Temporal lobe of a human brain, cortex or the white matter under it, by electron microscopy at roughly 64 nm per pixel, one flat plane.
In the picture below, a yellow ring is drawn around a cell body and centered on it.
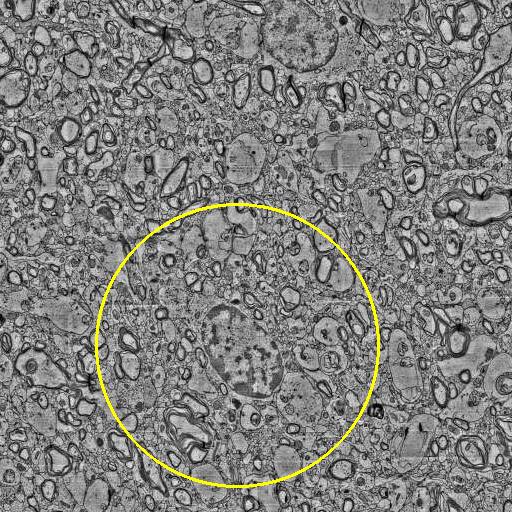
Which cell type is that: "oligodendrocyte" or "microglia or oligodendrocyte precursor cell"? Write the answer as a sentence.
The cell centered in the ring is a microglial cell or oligodendrocyte precursor cell.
